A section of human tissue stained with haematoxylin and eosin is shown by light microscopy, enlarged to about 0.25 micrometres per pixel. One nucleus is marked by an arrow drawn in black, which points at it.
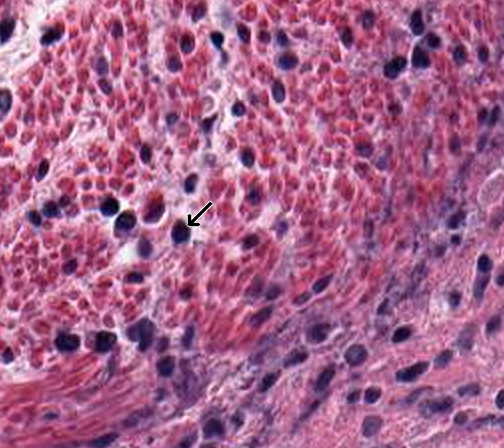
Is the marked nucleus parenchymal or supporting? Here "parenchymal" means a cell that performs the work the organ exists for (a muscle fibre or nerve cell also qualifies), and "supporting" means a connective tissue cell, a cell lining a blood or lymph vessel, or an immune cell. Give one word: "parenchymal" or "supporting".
supporting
